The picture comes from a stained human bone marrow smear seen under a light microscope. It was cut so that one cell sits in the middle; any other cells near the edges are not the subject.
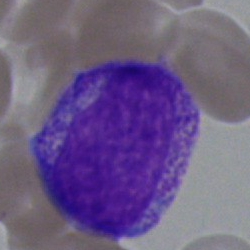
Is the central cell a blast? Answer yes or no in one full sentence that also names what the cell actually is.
No, the central cell is properly termed a myelocyte, not a blast.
